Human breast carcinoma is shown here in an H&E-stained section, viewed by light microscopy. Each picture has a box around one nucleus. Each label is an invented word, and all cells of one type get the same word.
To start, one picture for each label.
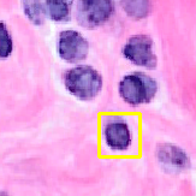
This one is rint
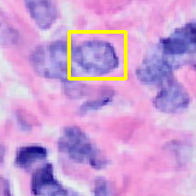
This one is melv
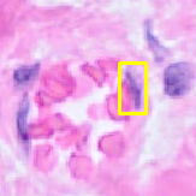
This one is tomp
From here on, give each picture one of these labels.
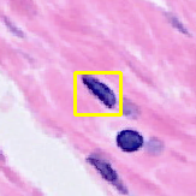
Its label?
rint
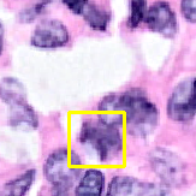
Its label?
melv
